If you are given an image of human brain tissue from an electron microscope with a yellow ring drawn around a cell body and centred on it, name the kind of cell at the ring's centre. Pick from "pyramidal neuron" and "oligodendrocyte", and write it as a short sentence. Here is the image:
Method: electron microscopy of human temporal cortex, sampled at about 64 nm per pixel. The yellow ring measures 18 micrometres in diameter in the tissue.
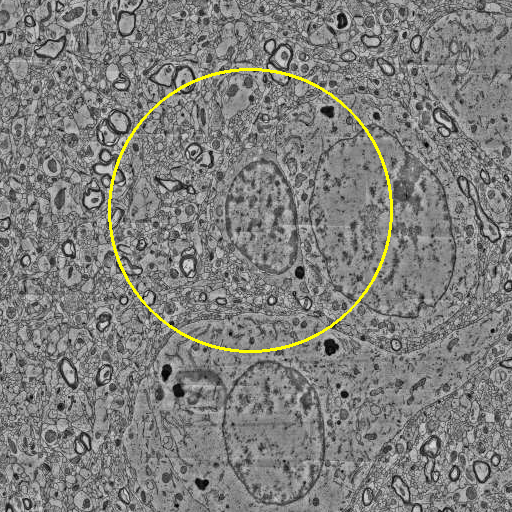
The cell at the ring's centre is an oligodendrocyte.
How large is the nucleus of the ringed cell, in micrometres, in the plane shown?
About 7 by 5 micrometres in this plane; clearly longer than it is wide.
